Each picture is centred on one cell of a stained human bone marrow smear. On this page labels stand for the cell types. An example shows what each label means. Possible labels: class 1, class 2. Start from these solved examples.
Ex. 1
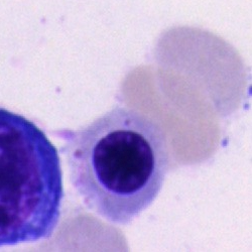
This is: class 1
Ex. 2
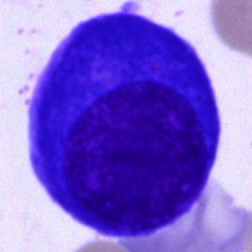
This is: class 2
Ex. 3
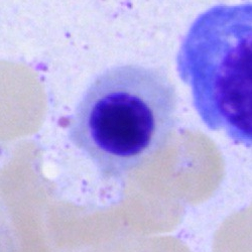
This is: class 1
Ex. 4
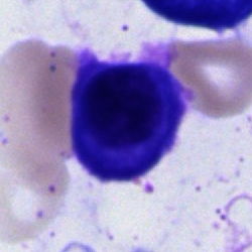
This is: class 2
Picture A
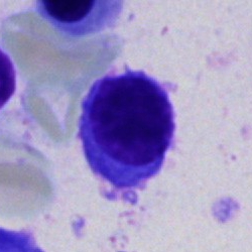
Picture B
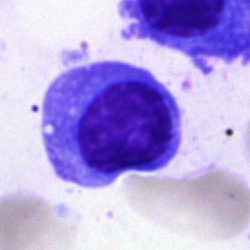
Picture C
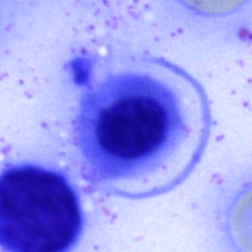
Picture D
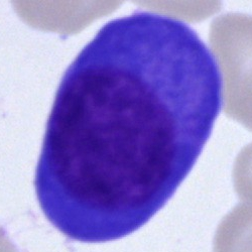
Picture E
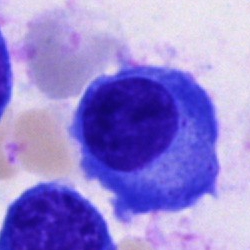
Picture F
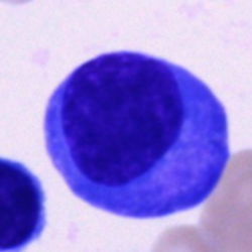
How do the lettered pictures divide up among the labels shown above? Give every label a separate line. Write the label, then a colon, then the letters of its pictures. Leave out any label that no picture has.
class 1: C
class 2: A, B, D, E, F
